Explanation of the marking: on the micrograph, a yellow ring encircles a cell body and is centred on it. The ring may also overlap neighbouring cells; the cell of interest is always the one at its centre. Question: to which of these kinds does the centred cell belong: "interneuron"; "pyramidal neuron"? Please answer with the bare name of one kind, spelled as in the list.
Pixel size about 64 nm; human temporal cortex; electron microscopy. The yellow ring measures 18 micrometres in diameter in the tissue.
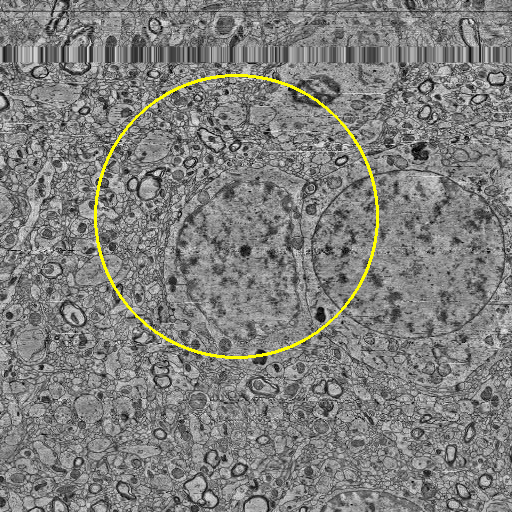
interneuron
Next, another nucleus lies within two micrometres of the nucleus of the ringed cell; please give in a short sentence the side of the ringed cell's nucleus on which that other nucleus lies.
That second nucleus is to the right of it.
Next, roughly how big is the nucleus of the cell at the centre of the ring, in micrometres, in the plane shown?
In this plane the nucleus measures roughly 11 by 8 micrometers.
